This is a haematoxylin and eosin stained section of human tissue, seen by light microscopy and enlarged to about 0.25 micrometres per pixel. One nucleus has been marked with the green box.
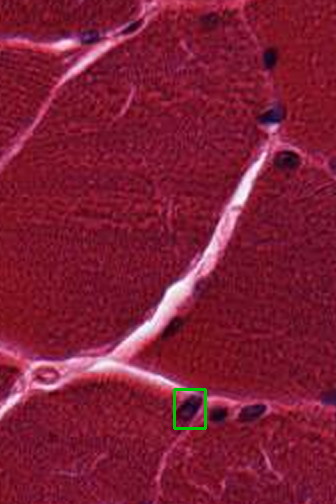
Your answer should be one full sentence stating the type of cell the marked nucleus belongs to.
Indicated by the mark is a nucleus that belongs to a skeletal muscle fibre.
